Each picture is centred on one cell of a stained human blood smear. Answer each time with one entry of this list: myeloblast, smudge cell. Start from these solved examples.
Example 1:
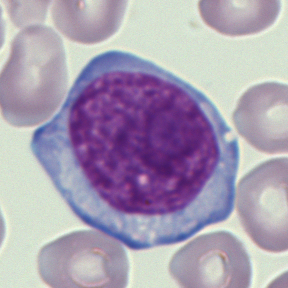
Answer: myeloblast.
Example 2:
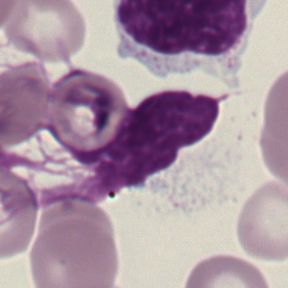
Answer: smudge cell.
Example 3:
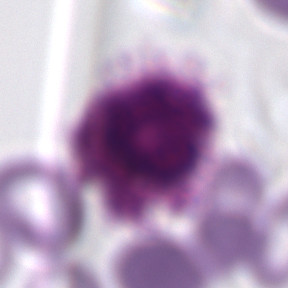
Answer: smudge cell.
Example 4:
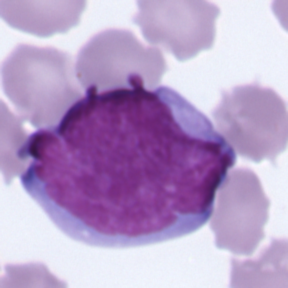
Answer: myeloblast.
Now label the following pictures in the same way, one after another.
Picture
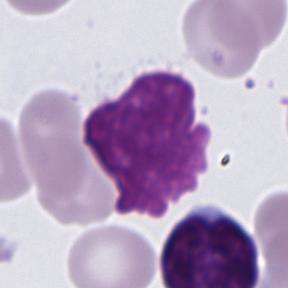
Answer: smudge cell.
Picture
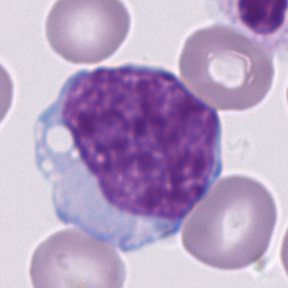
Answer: myeloblast.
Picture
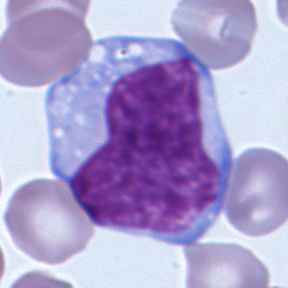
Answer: myeloblast.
